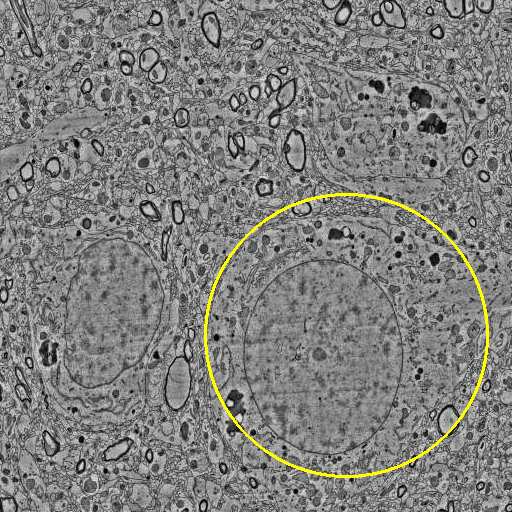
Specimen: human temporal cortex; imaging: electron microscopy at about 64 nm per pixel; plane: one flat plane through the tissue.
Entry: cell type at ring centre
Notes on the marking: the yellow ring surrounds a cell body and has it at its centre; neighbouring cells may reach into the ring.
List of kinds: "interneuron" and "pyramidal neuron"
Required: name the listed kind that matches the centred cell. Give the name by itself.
pyramidal neuron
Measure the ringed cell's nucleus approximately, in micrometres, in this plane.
Approximately 13 micrometres long and 10 micrometres wide, in this plane.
